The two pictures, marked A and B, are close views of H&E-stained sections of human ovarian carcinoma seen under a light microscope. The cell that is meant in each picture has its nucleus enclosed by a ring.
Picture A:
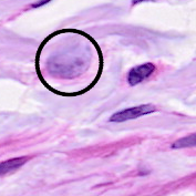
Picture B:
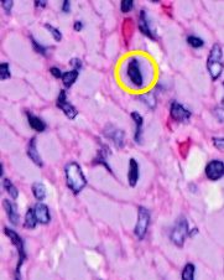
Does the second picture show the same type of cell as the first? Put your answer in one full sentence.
No, picture A shows a fibroblast and picture B shows a lymphocyte.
